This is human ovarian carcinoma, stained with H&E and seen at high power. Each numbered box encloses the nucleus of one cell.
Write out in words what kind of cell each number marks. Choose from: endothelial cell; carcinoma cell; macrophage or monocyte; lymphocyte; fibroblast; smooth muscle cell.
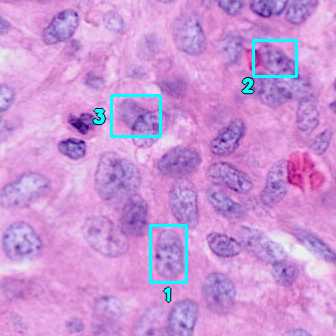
Cells 1 and 3 are fibroblasts. Cell 2 is an endothelial cell.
